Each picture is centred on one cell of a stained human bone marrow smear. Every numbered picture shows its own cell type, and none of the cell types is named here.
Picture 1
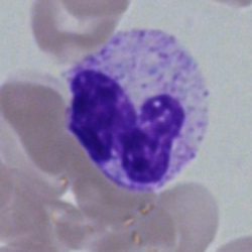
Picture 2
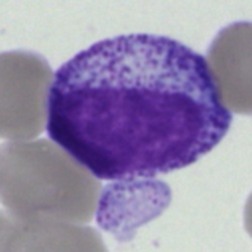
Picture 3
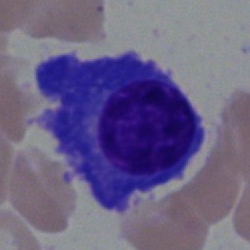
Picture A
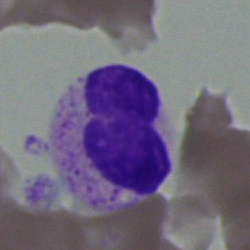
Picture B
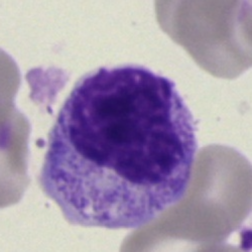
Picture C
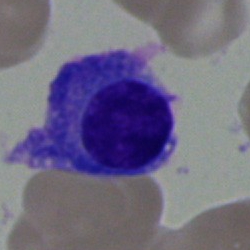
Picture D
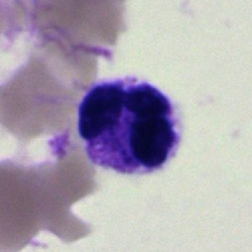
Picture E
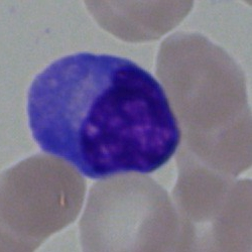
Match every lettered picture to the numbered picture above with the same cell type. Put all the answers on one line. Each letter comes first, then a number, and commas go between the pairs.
A 1, B 2, C 3, D 1, E 3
